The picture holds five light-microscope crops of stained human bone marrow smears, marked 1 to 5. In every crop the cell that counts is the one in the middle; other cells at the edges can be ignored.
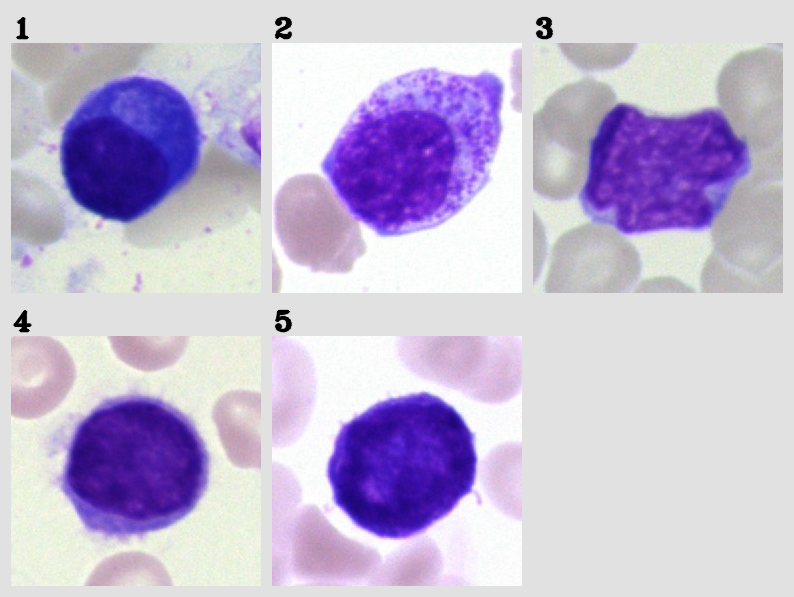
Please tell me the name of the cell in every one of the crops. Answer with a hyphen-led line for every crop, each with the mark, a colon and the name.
- 1: plasma cell
- 2: myelocyte
- 3: blast
- 4: hairy cell
- 5: blast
